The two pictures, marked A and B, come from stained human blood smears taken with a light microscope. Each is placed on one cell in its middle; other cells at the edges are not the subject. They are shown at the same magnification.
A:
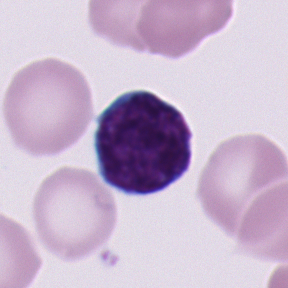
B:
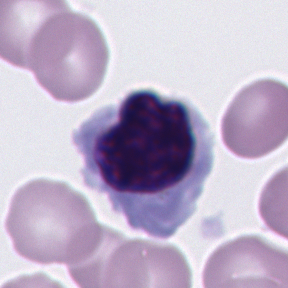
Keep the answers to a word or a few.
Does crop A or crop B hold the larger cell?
B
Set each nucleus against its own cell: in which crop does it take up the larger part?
A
